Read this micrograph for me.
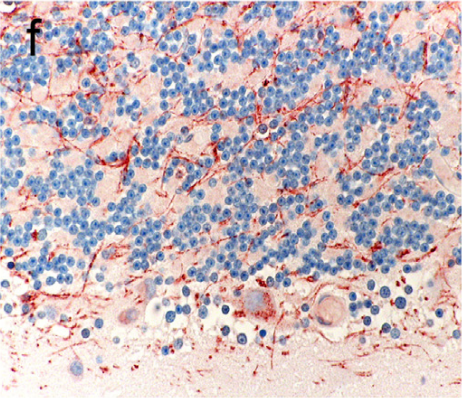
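This is the granular cell layer of the cerebellum, made of very many small, closely packed cells whose round, dark blue nuclei fill almost the whole field with scant visible cytoplasm. The nuclei gather in clusters separated by small pale islands, and thin red-brown fibres wind between the clusters. Along the lower border lies a row of much larger cells with round nuclei and pale, faintly reddish cytoplasm, and below them is a pale, cell-poor zone crossed by fine red-brown threads. The fibres, rather than the small cell bodies, carry most of the colour.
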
